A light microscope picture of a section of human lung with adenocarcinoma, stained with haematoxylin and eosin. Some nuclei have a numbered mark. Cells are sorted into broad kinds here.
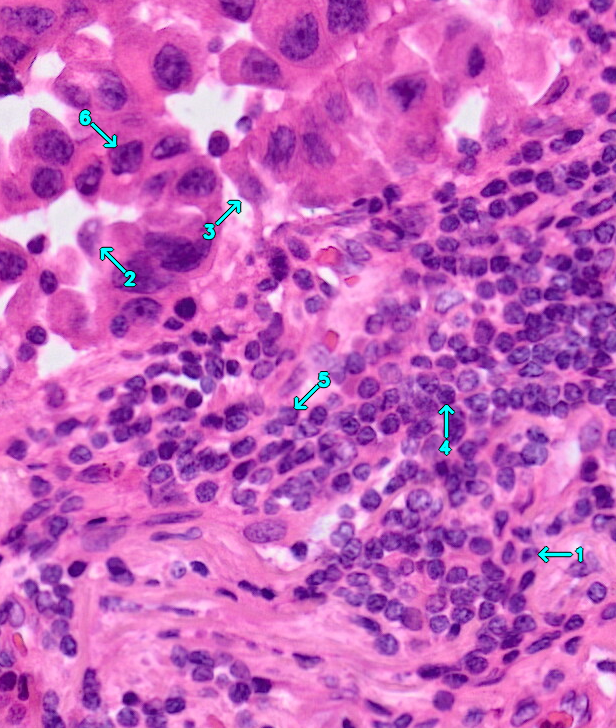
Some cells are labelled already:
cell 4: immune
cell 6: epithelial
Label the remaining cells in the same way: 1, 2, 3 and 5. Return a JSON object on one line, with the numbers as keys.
{"1": "immune", "2": "epithelial", "3": "epithelial", "5": "immune"}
